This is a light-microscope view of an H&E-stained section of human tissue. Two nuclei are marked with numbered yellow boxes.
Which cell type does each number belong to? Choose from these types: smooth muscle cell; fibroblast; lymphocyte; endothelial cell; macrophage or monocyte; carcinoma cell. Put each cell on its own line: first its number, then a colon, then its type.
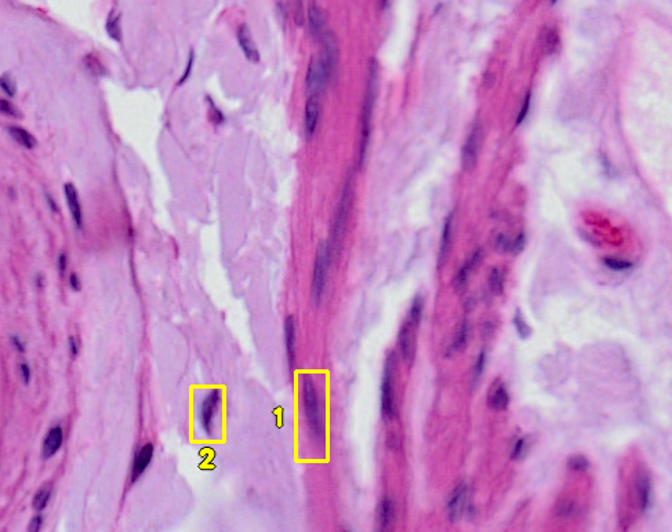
1: smooth muscle cell
2: fibroblast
